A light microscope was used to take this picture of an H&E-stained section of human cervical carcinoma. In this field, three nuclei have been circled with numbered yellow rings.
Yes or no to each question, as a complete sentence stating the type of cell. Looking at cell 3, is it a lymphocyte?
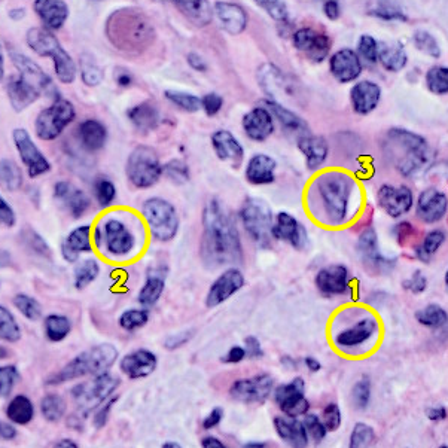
No, calling cell 3 a lymphocyte is a mistake; it is an endothelial cell.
